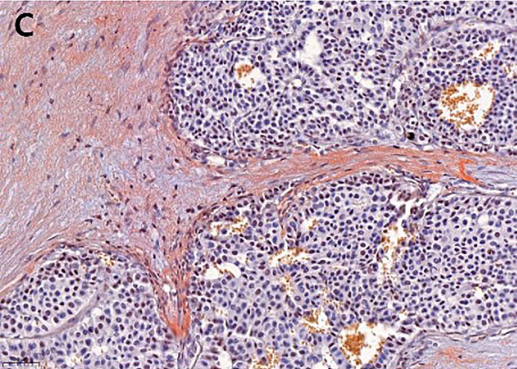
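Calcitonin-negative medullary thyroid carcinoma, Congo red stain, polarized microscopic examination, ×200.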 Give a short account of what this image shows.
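The stroma between the nests takes an orange-red colour, most strongly along the fibrous bands. The tumor cells form rounded nests with blue-purple nuclei that are crowded together. Small spaces within the nests contain orange material.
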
